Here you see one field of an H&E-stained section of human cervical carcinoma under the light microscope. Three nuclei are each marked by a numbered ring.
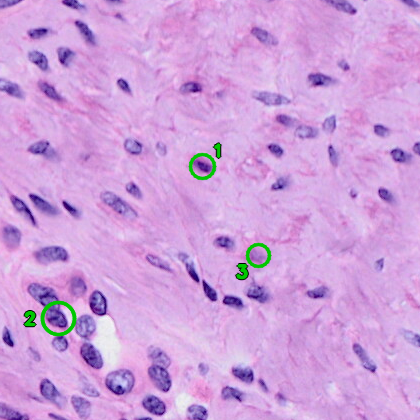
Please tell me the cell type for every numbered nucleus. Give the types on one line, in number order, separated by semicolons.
smooth muscle cell; endothelial cell; smooth muscle cell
